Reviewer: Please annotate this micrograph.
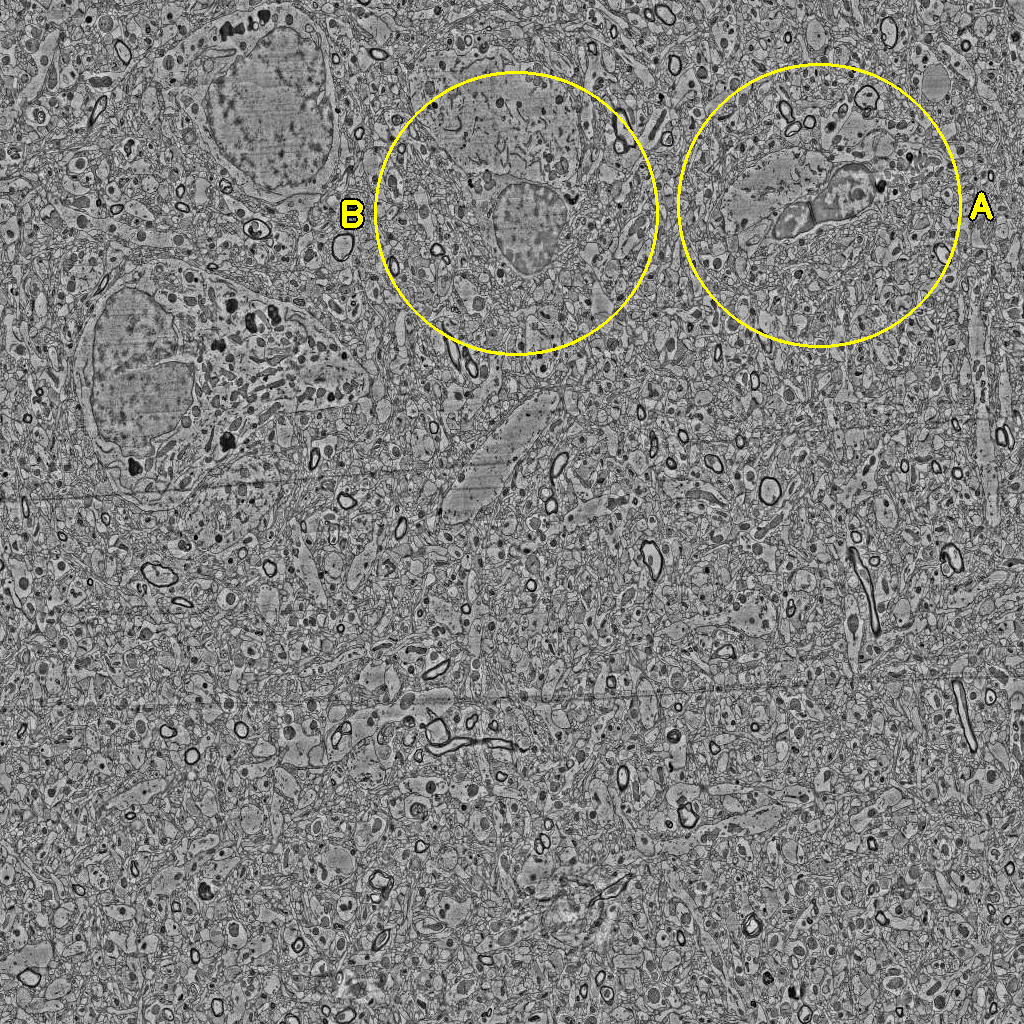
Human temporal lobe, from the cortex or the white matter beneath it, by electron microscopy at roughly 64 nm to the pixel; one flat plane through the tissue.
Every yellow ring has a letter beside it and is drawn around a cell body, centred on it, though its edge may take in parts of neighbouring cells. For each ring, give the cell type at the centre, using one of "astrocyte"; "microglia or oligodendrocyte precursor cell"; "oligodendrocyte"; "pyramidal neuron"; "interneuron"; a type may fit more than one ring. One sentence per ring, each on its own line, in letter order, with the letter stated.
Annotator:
The cell in the middle of ring A is a microglial cell or oligodendrocyte precursor cell.
The cell in the middle of ring B is an oligodendrocyte.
